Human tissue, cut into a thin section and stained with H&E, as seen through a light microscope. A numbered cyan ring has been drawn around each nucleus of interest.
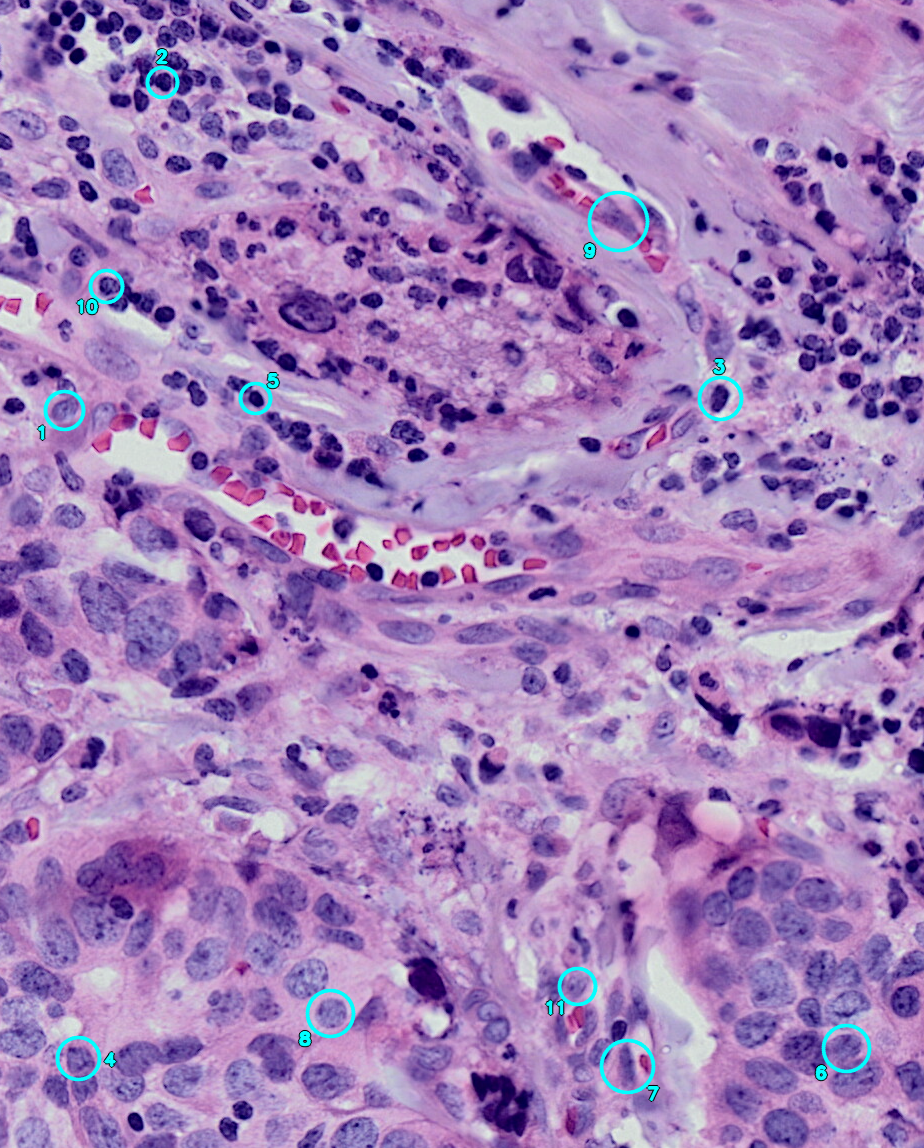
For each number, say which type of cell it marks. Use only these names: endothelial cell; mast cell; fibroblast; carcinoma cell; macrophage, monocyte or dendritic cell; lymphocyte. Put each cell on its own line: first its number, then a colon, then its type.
1: endothelial cell
2: lymphocyte
3: lymphocyte
4: carcinoma cell
5: lymphocyte
6: carcinoma cell
7: endothelial cell
8: carcinoma cell
9: endothelial cell
10: lymphocyte
11: endothelial cell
